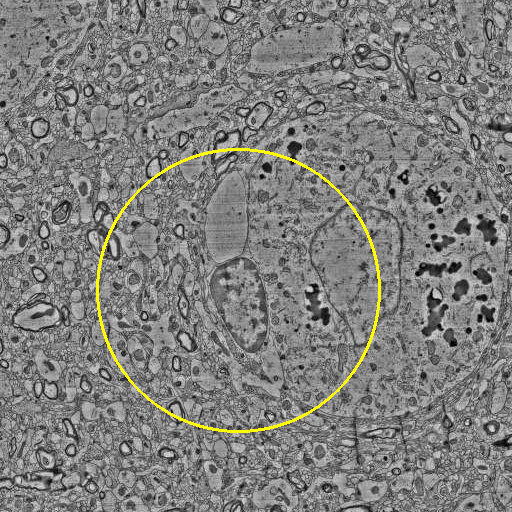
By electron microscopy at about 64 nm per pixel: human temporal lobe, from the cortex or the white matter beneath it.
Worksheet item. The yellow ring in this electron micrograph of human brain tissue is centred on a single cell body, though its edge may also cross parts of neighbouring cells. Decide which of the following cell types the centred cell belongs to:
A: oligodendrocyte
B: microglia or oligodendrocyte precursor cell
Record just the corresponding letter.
B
